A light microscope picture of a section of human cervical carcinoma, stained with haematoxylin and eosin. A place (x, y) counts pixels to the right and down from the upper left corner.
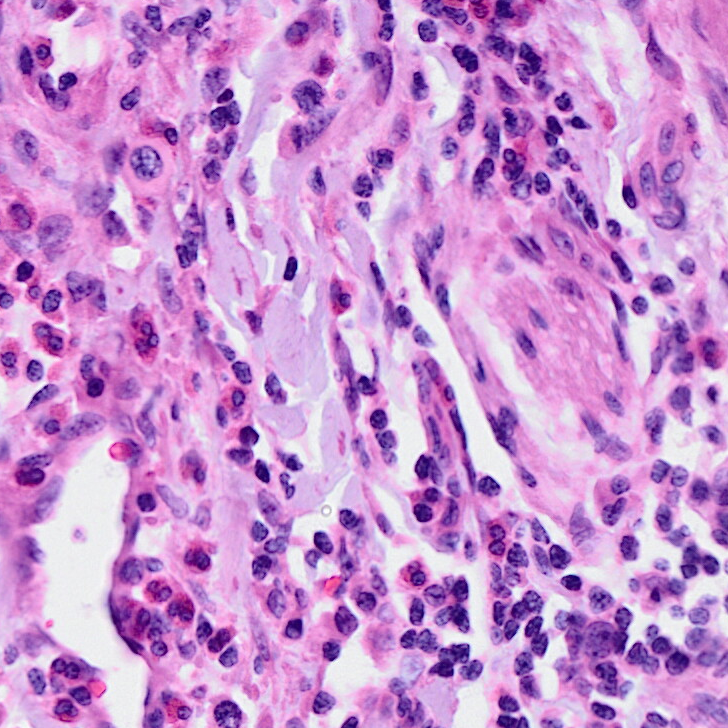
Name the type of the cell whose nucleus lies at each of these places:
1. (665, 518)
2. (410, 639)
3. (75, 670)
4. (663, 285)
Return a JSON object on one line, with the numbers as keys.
{"1": "lymphocyte", "2": "lymphocyte", "3": "endothelial cell", "4": "lymphocyte"}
